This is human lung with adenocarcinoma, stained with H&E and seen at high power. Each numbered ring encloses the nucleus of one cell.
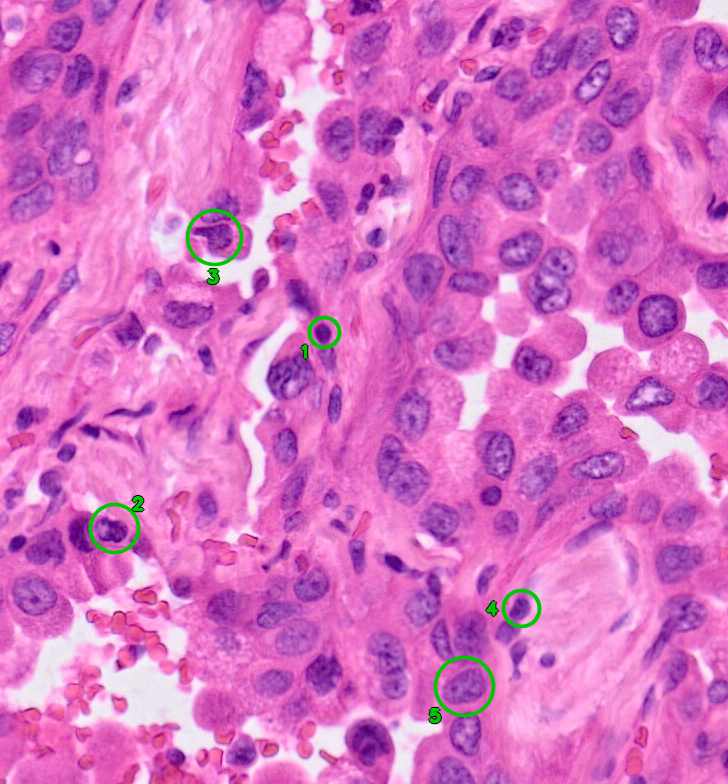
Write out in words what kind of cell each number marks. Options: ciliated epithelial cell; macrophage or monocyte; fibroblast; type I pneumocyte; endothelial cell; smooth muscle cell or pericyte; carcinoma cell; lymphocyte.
Cells 1 and 4 are lymphocytes. Cells 2, 3 and 5 are carcinoma cells.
